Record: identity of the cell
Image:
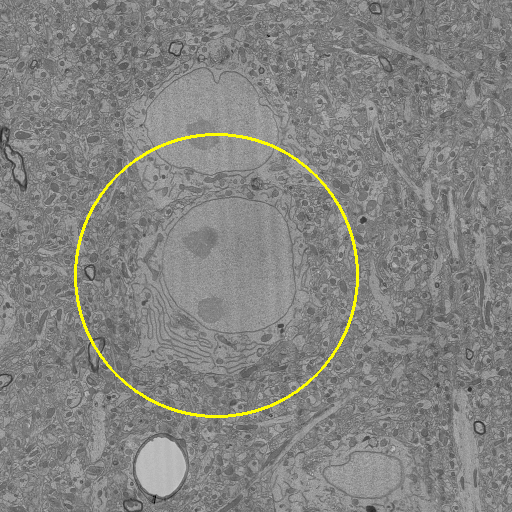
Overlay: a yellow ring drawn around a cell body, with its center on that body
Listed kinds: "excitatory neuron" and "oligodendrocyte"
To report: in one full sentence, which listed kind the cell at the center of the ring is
In the image, the cell body at the ring's center belongs to an excitatory neuron.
